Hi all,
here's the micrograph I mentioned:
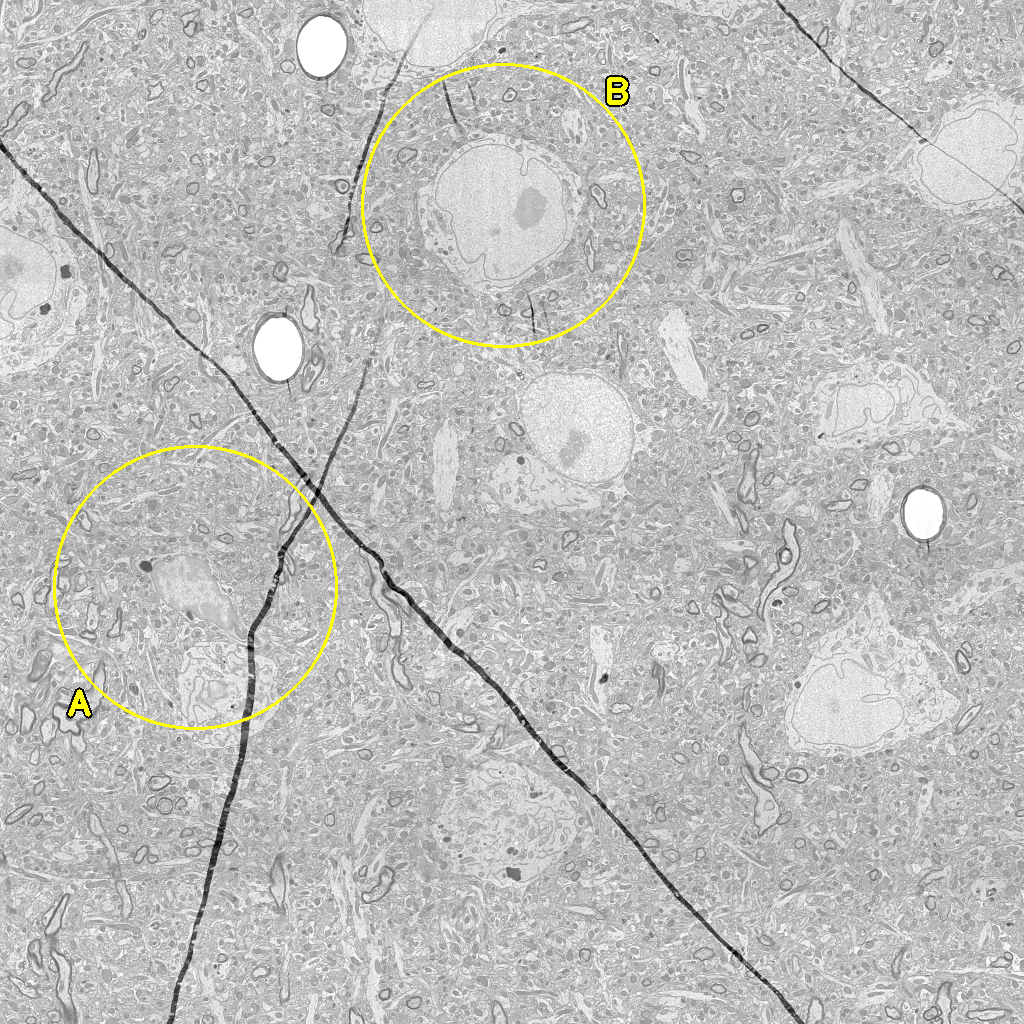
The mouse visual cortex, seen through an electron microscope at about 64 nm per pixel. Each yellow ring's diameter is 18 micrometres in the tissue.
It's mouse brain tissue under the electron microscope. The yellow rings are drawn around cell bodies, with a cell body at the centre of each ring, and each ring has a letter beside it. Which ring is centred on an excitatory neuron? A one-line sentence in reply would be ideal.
It's the one labelled B.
